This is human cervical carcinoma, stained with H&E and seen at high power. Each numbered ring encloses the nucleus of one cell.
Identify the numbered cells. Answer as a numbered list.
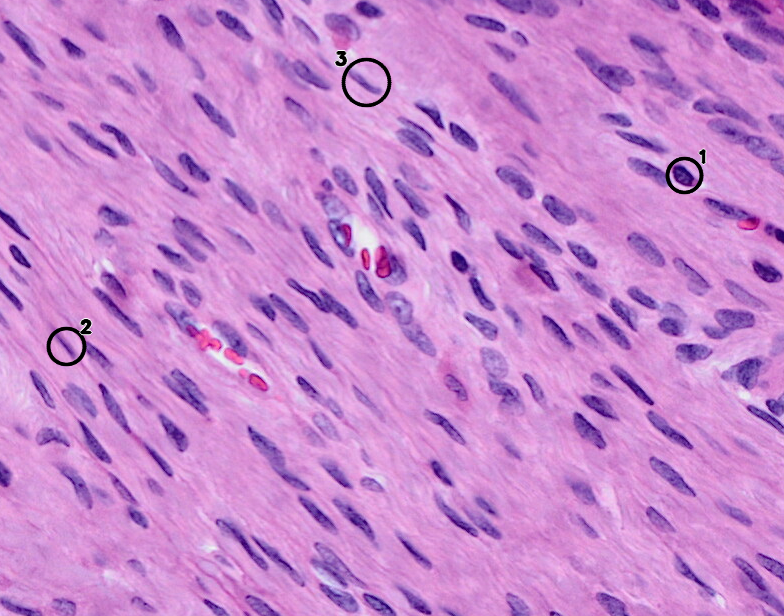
1. lymphocyte
2. fibroblast
3. fibroblast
